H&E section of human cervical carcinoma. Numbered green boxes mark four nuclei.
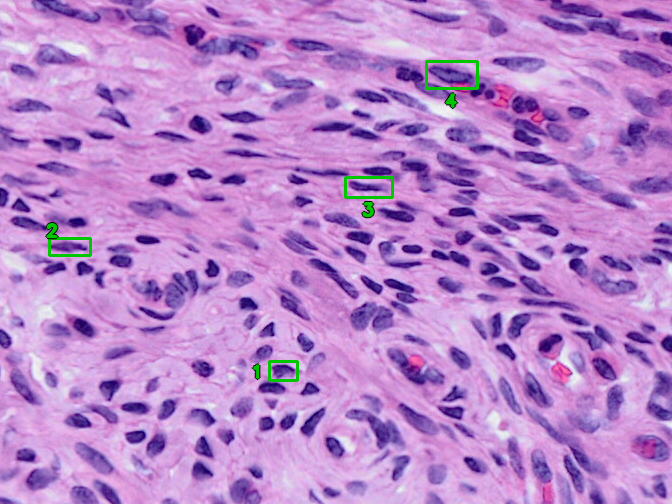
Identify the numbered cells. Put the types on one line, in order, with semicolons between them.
fibroblast; fibroblast; fibroblast; endothelial cell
